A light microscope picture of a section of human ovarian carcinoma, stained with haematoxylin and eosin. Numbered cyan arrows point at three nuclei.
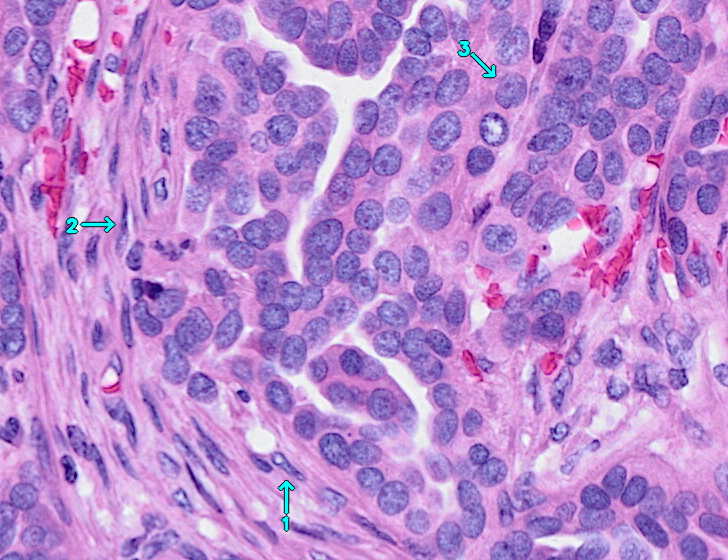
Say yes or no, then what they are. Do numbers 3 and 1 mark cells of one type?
No, that's wrong; cell 3 is a carcinoma cell and cell 1 is a fibroblast.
